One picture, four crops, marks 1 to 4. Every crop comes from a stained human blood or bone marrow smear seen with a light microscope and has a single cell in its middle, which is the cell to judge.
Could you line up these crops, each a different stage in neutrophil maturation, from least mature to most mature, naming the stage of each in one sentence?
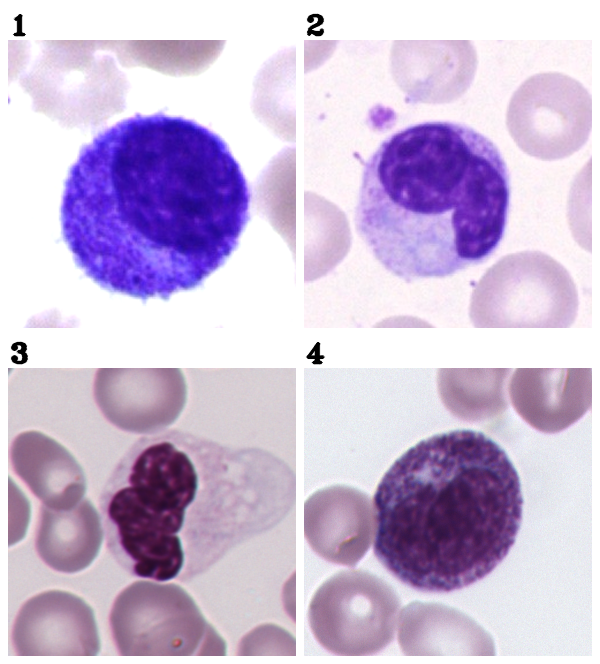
In ascending order of maturity, the cells are crop 1 (a promyelocyte), crop 4 (a myelocyte), crop 2 (a band neutrophil) and crop 3 (a segmented neutrophil).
